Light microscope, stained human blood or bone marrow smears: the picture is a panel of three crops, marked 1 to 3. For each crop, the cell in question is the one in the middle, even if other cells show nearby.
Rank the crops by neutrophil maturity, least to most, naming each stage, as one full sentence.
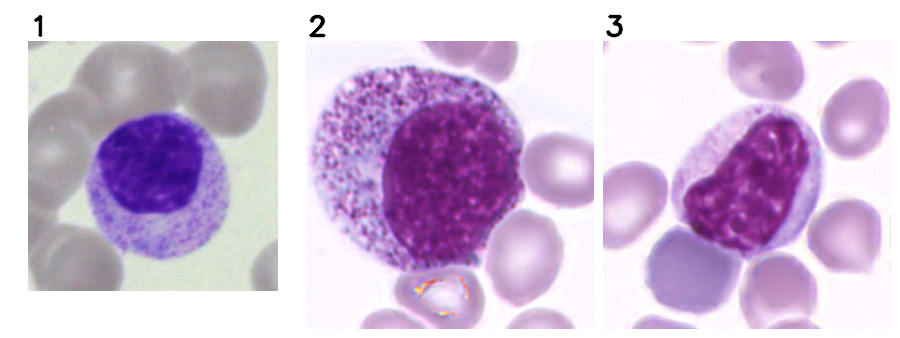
From earliest stage to latest stage, the sequence is crop 2 (a promyelocyte), crop 1 (a myelocyte) and crop 3 (a metamyelocyte).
